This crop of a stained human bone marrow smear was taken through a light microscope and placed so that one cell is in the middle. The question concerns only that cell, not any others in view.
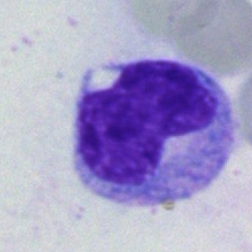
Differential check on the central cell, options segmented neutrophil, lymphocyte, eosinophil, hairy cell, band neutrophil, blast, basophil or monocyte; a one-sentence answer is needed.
The crop shows a monocyte in its centre.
